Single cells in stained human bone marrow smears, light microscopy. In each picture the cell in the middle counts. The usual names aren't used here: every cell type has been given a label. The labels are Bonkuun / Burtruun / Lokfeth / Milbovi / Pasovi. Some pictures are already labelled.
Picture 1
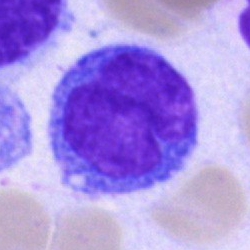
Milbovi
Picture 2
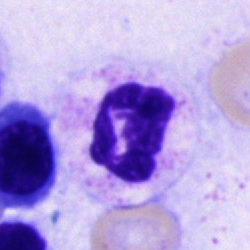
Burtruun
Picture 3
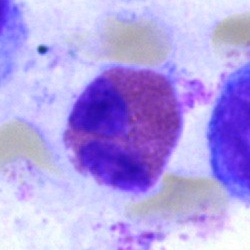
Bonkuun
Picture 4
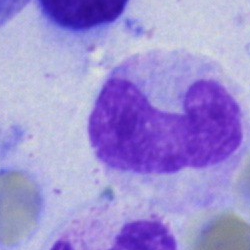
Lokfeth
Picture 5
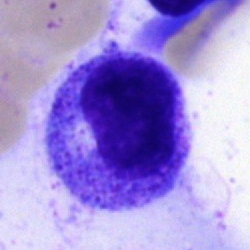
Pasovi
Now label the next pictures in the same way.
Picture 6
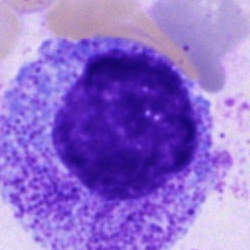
Pasovi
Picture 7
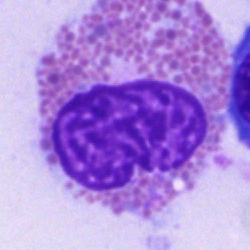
Bonkuun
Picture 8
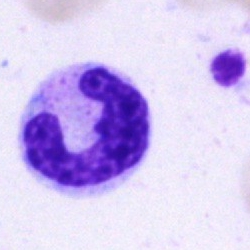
Lokfeth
